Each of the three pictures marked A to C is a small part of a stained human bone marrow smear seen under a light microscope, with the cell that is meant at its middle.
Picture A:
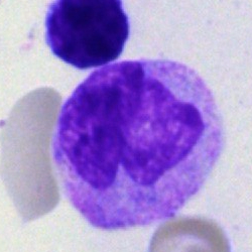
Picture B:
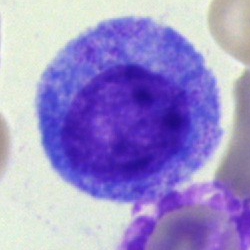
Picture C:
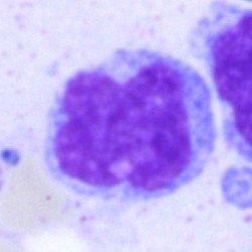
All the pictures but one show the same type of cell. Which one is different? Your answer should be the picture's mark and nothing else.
B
